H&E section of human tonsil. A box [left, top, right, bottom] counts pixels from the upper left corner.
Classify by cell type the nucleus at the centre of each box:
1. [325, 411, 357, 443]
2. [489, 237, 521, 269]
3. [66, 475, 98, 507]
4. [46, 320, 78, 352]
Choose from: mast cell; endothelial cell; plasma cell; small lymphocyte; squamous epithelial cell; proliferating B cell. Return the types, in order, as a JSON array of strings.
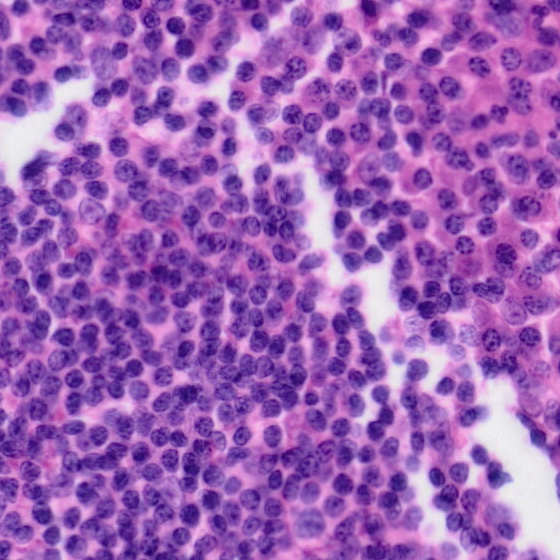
["small lymphocyte", "plasma cell", "small lymphocyte", "small lymphocyte"]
